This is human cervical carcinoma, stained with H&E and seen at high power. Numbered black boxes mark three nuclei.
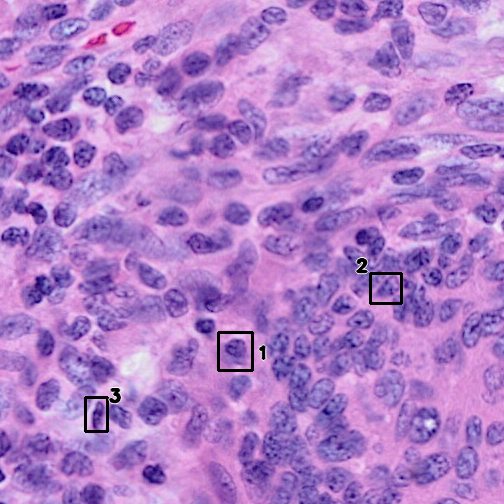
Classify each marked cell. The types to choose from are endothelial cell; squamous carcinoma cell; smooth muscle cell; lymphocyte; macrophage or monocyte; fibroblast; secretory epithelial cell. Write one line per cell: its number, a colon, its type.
1: squamous carcinoma cell
2: squamous carcinoma cell
3: lymphocyte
